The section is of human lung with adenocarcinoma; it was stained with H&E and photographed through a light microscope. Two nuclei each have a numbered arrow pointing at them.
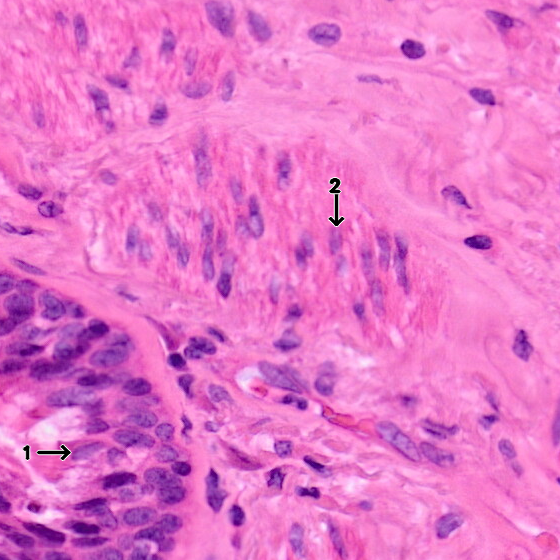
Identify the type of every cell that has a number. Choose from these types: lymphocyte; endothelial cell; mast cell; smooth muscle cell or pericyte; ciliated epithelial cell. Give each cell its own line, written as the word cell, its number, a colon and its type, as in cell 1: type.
cell 1: ciliated epithelial cell
cell 2: smooth muscle cell or pericyte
